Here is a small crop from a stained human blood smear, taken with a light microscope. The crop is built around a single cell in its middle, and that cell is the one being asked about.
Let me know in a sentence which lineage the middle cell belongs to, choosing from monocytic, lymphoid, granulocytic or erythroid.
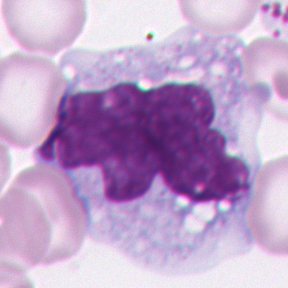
The correct lineage for the cell at the center is the monocytic one.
